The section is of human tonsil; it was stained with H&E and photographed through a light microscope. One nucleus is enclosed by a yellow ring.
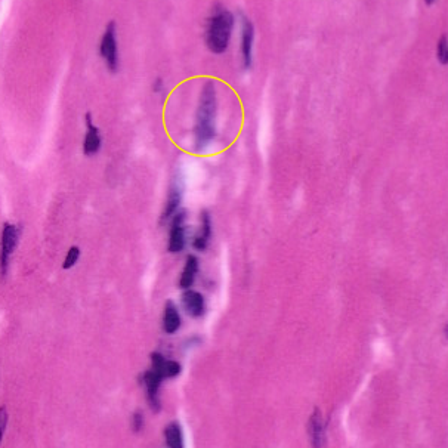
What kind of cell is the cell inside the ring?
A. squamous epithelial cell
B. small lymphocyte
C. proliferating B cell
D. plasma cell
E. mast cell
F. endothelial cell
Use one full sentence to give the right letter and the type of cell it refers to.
In short, option F: the cell inside the ring is an endothelial cell.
